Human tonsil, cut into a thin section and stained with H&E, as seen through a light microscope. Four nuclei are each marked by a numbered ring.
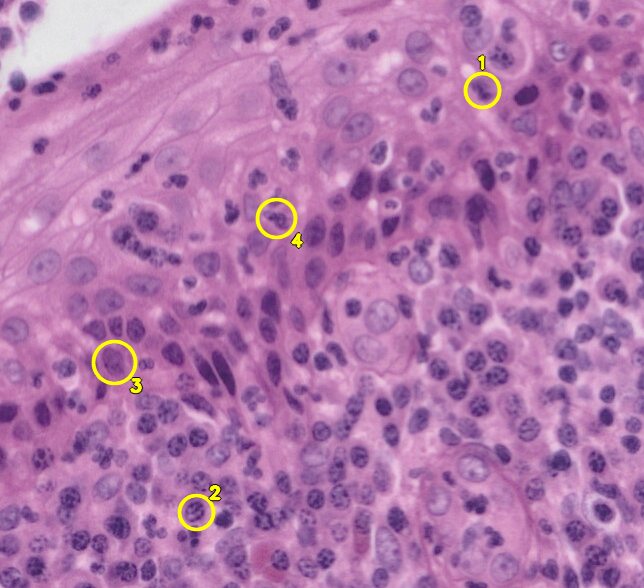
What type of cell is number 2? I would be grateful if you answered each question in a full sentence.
The cell assigned the number 2 is a plasma cell.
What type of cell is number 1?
The cell assigned the number 1 is a squamous epithelial cell.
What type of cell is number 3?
In this section, the cell tagged 3 is a squamous epithelial cell.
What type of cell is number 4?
The marked nucleus 4 is that of a squamous epithelial cell.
